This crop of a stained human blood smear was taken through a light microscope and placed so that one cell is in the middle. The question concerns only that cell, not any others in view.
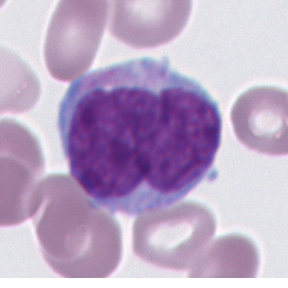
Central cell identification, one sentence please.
The cell at the middle of the frame should be recorded as an atypical promyelocyte.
